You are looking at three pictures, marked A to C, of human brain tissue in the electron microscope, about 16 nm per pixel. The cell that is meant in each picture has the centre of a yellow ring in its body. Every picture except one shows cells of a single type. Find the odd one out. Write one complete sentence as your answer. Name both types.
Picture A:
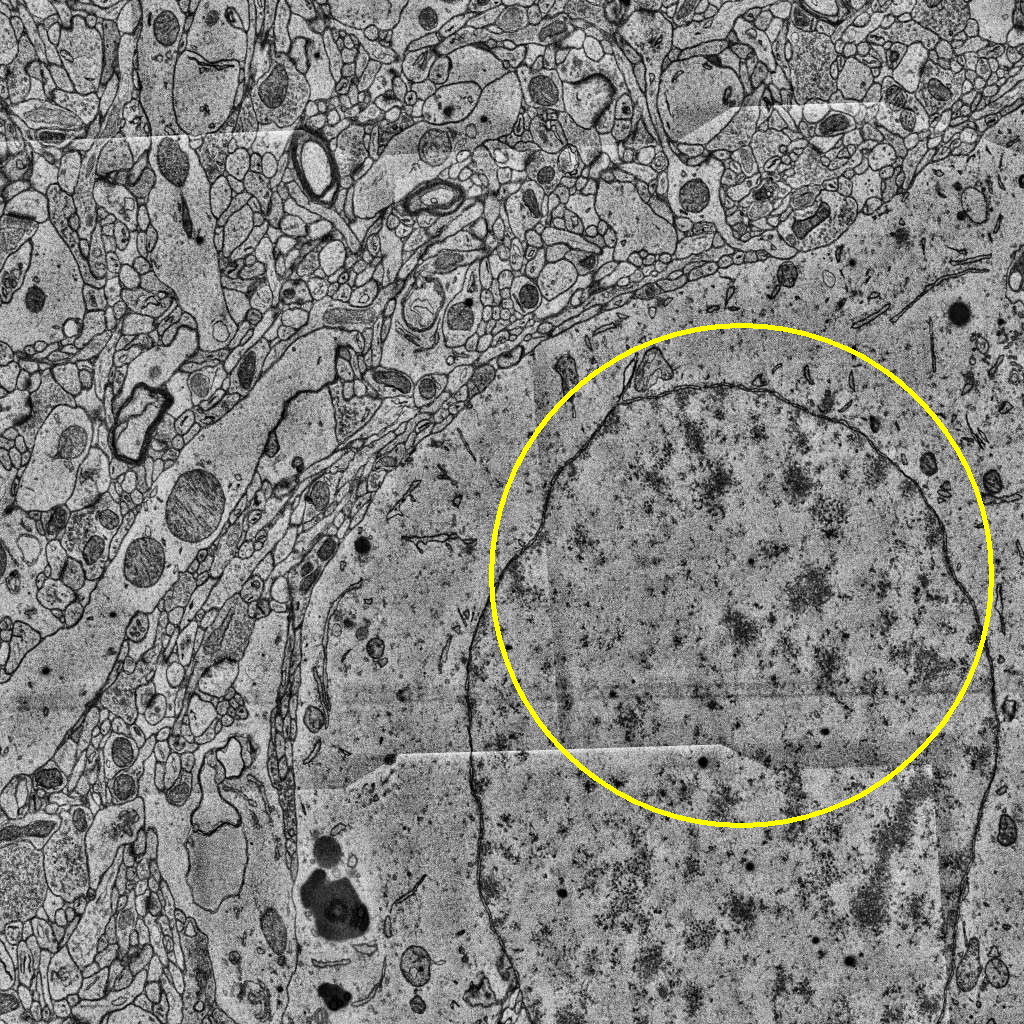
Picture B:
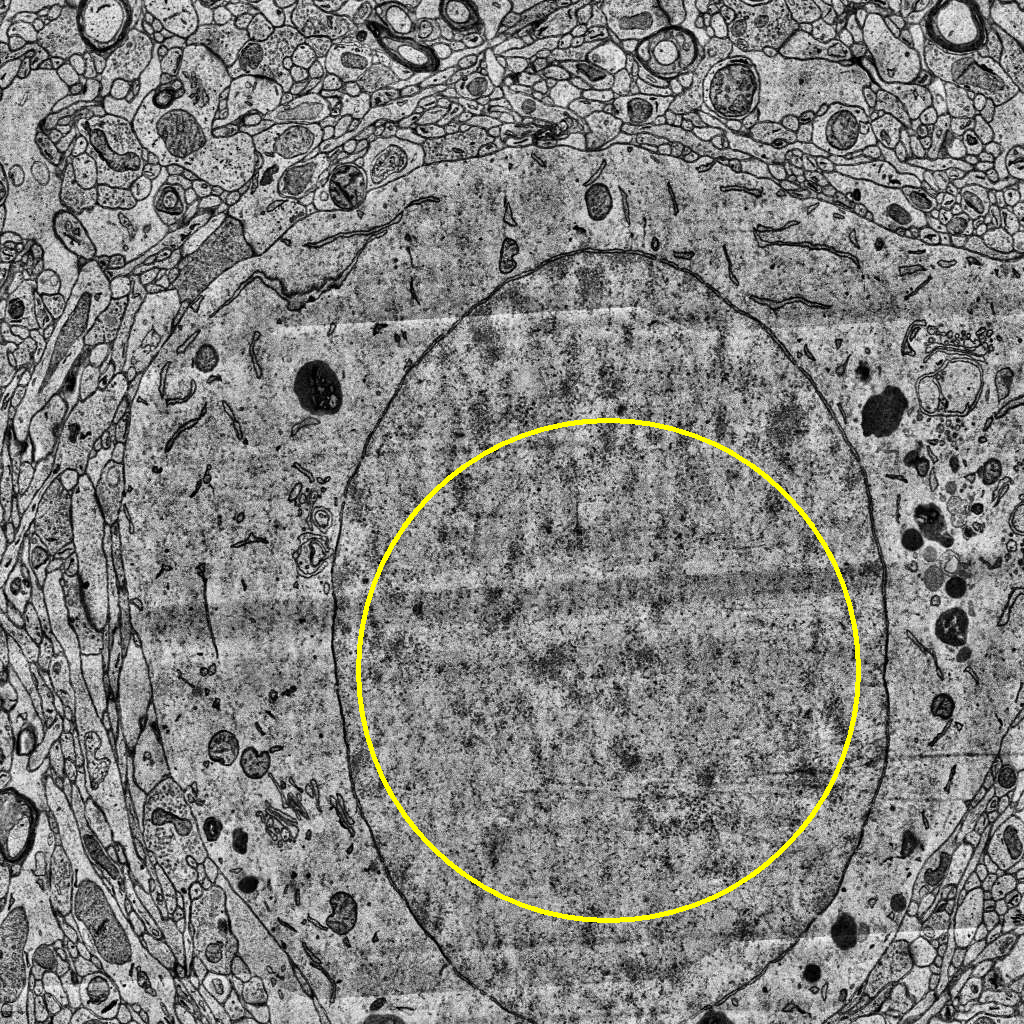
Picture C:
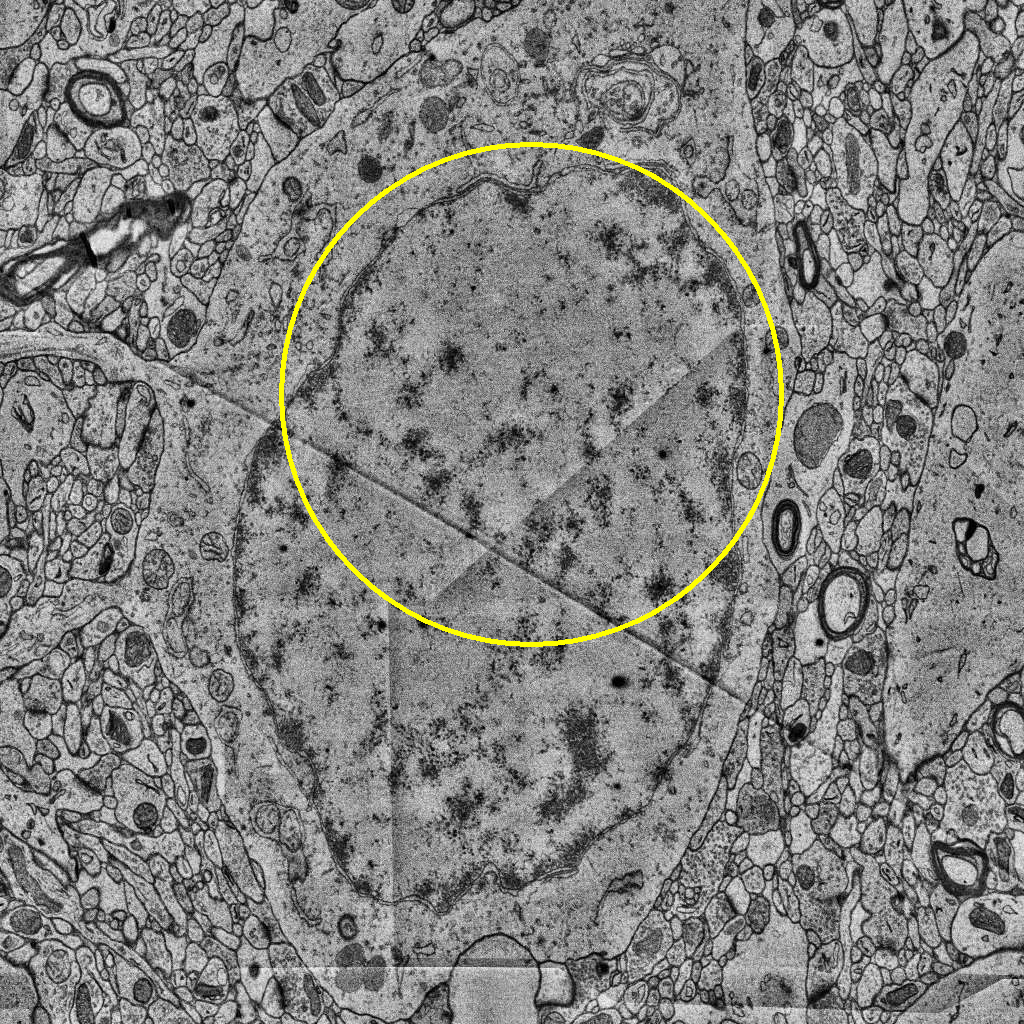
The different one is picture C; it shows an interneuron, whereas all the others show pyramidal neurons.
